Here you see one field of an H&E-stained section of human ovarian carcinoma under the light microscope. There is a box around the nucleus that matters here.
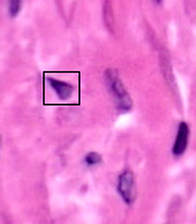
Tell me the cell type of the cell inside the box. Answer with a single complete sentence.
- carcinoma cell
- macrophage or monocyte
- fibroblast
In this field of tissue, the cell inside the box is a fibroblast.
